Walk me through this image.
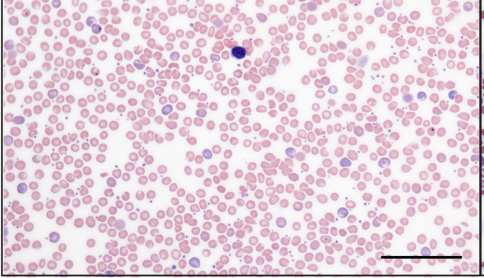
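This is a blood smear with a dense, even field of red cells that are round, similar in size and stained a uniform pale pink. A few red cells take a faint bluish-grey tint, and tiny purple specks lie between the cells. Only a single dark purple cell with a large nucleus is seen in the field. The regular size and shape of the red cells is what a normal smear looks like.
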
